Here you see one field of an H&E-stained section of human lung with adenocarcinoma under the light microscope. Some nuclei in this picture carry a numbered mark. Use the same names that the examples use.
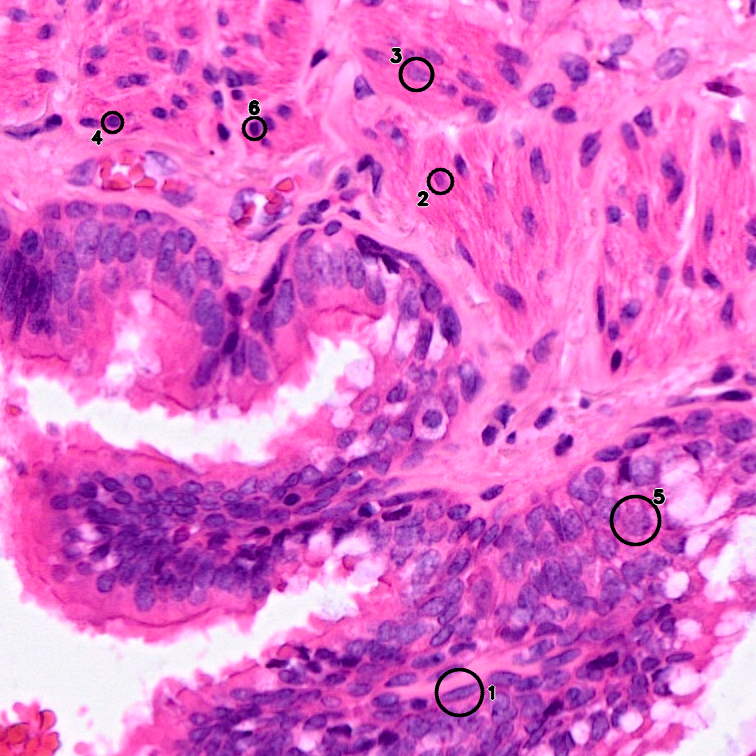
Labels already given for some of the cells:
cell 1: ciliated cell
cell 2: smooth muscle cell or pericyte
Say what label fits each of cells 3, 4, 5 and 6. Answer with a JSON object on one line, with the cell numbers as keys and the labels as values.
{"3": "smooth muscle cell or pericyte", "4": "smooth muscle cell or pericyte", "5": "ciliated cell", "6": "smooth muscle cell or pericyte"}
